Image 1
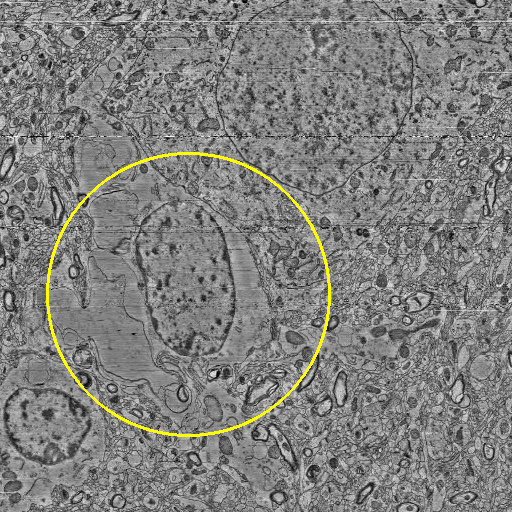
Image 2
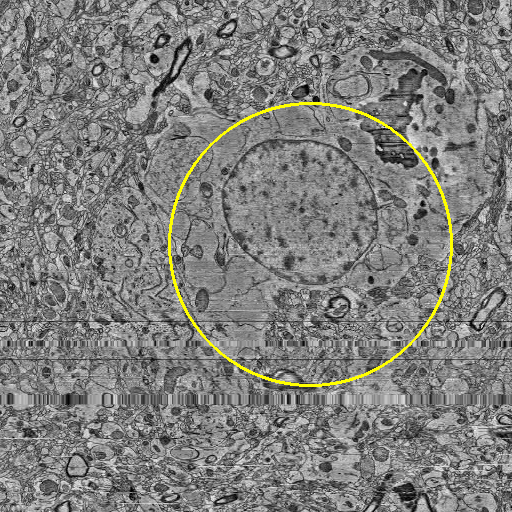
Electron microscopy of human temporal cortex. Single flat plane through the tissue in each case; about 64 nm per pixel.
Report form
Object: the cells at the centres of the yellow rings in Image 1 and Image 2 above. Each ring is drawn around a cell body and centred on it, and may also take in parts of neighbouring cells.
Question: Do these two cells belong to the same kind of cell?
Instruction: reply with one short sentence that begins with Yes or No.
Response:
Yes, both belong to the same kind of cell.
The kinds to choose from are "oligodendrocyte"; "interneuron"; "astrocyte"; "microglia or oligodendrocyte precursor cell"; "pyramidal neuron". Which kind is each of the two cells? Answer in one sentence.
The cell at the ring centre is an astrocyte in both pictures.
